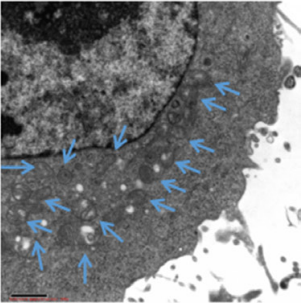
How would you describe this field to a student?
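The vesicles are round and membrane-bound, some with dark contents and others with pale centres, and they are scattered through the cytoplasm close to the nuclear envelope. The cytoplasm is granular and fairly dense, and the cell edge with short projections borders a pale extracellular space at the right.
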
